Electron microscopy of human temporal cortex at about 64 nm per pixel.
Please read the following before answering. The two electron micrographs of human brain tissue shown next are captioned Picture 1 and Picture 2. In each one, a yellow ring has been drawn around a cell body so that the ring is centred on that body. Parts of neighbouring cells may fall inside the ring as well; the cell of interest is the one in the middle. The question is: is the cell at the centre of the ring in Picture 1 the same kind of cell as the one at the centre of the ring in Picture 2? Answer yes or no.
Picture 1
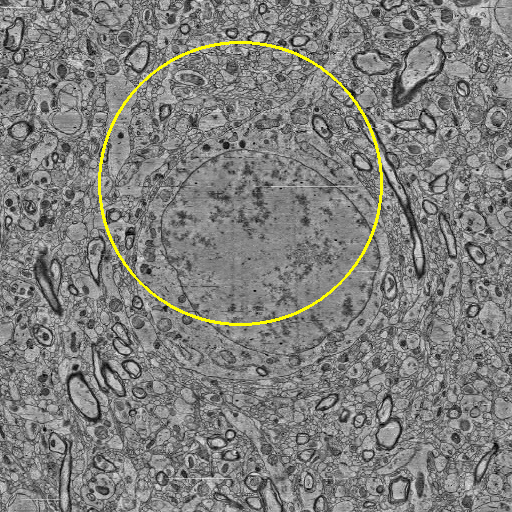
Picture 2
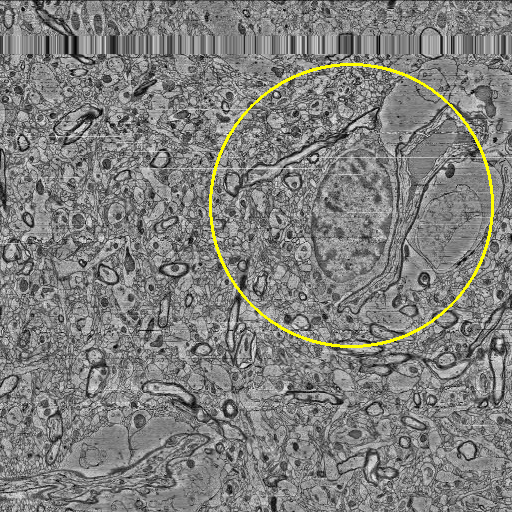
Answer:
no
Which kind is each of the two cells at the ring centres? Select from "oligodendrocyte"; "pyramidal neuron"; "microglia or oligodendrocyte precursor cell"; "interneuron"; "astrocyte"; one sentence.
The cell at the centre of the ring is a pyramidal neuron in the first picture and an oligodendrocyte in the second.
